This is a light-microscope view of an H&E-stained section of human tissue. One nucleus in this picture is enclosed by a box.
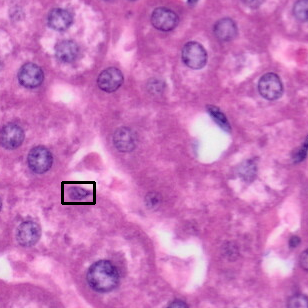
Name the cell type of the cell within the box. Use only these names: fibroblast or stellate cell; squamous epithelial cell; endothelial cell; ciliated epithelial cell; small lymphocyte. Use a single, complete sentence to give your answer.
Right, so the cell within the box is a fibroblast or stellate cell, to answer that.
